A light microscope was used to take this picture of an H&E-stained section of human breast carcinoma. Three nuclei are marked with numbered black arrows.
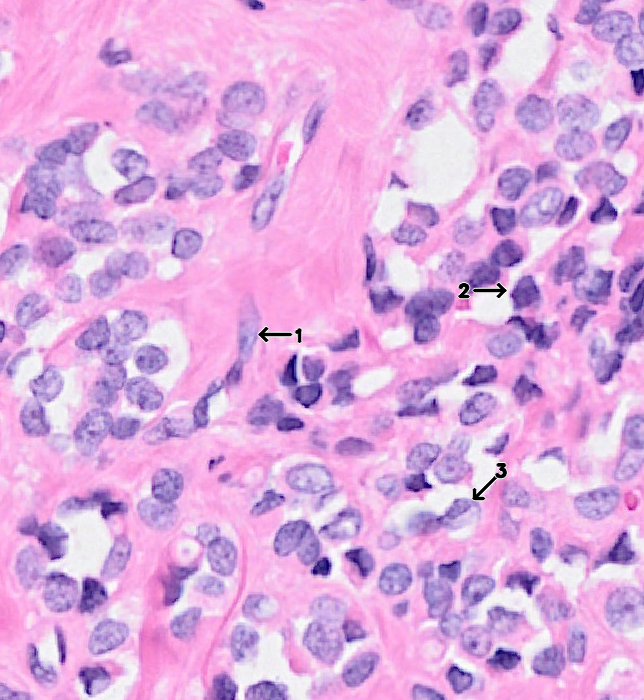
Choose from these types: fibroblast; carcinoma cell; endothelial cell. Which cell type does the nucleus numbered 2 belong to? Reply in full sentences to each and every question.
The one numbered 2 among the marked cells is a carcinoma cell.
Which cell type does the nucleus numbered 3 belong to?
Numbered cell 3 is a carcinoma cell in this tissue section.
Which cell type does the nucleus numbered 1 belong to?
Among the marked nuclei, number 1 belongs to an endothelial cell.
